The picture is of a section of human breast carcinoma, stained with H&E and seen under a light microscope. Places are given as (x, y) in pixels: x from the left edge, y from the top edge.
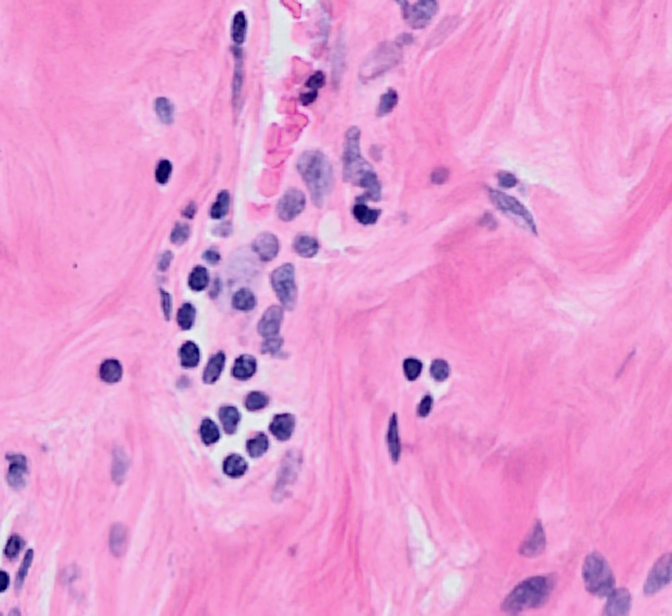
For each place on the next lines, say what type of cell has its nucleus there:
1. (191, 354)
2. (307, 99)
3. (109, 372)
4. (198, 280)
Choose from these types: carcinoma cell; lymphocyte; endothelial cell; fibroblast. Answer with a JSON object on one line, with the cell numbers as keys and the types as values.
{"1": "lymphocyte", "2": "endothelial cell", "3": "lymphocyte", "4": "lymphocyte"}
